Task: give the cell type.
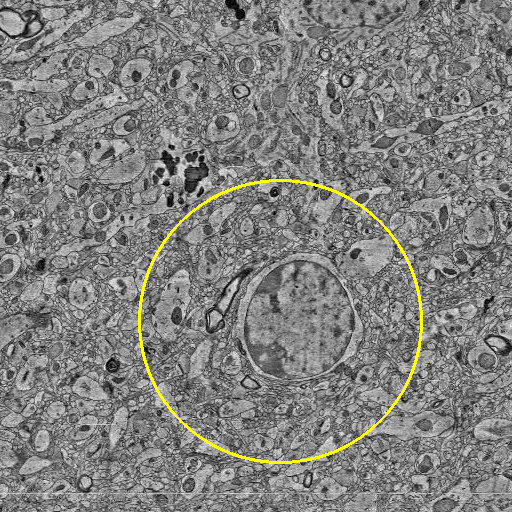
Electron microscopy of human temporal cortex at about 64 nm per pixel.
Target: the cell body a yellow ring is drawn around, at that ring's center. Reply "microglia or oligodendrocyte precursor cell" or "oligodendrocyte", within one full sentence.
In this picture, the cell whose body lies at the ring's center is a microglial cell or oligodendrocyte precursor cell.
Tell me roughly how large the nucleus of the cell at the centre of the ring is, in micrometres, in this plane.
Roughly 8 by 7 micrometres is the size of the nucleus in this plane.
